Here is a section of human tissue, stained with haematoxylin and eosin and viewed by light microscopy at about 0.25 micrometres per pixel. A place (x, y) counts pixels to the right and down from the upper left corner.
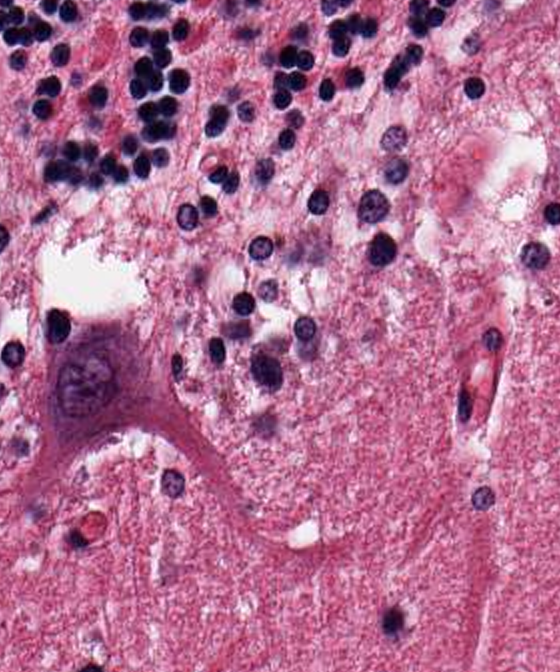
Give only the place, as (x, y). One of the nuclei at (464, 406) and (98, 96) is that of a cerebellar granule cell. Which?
(98, 96)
